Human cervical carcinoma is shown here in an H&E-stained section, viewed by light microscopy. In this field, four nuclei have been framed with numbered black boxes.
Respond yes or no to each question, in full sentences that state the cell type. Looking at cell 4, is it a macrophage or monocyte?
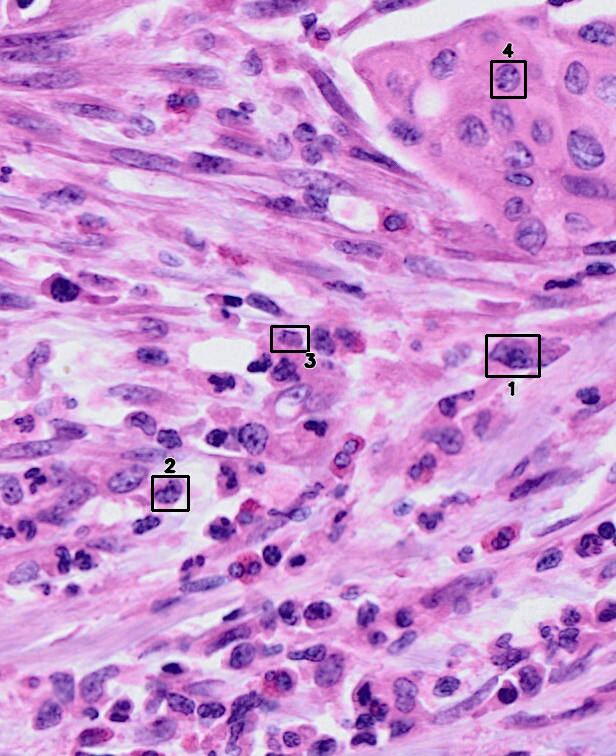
No, it is a squamous carcinoma cell, rather than a macrophage or monocyte, that carries number 4.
